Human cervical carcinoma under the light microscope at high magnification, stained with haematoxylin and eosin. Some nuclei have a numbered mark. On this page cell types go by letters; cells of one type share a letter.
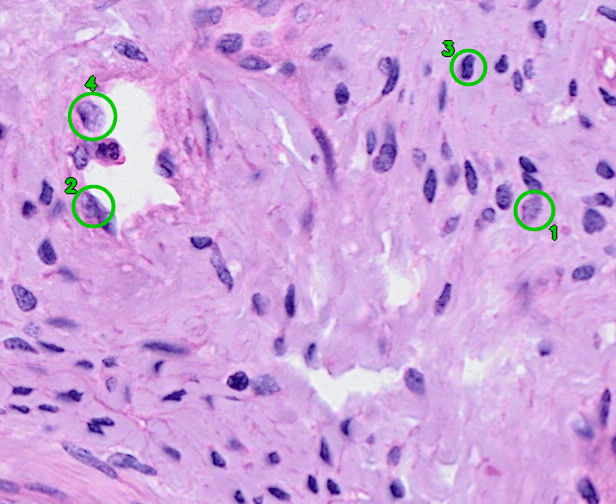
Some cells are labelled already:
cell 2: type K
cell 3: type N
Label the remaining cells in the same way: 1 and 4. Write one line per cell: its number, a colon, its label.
1: type N
4: type K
